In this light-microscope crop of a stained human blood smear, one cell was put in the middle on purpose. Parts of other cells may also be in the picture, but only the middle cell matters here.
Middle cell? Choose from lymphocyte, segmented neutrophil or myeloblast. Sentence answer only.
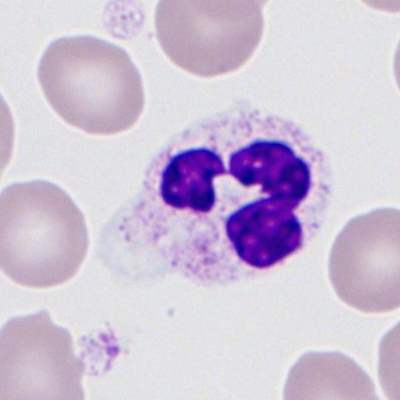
As for the central cell, it is a segmented neutrophil.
